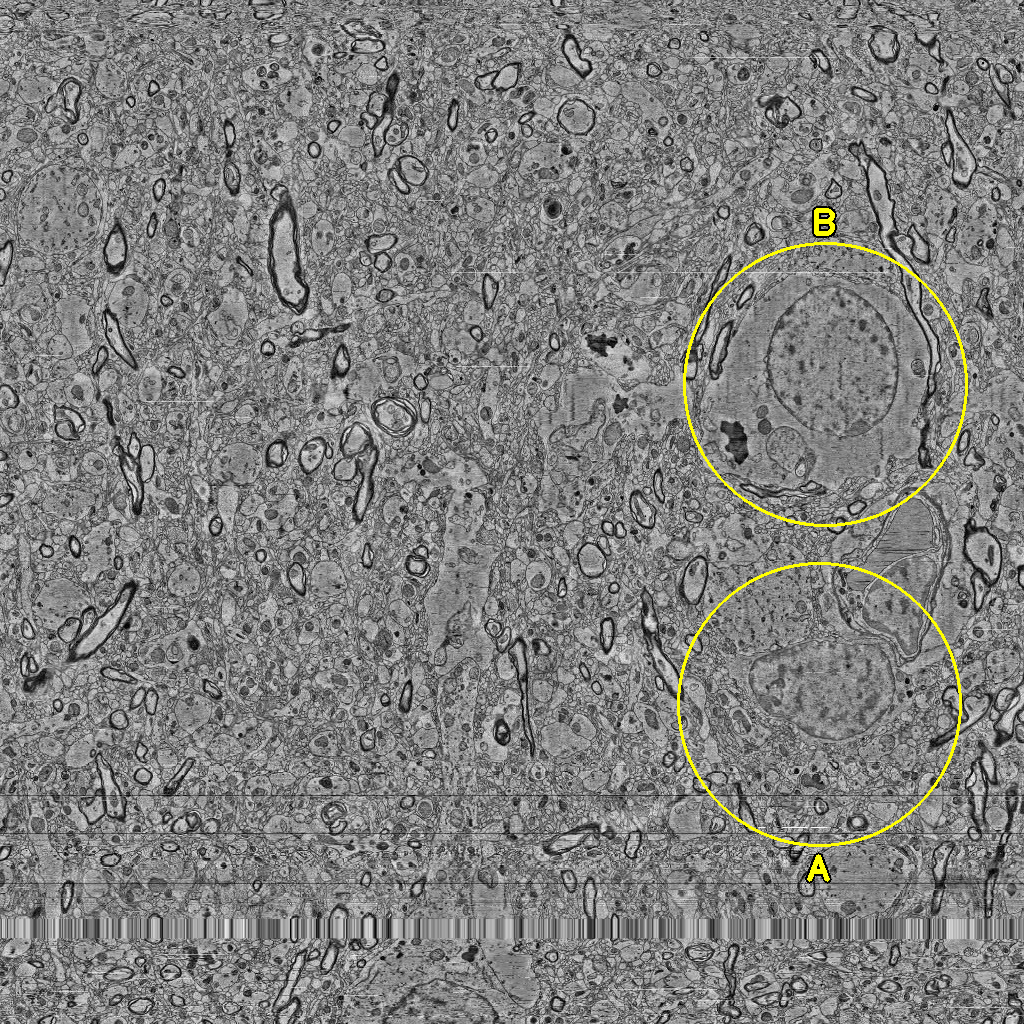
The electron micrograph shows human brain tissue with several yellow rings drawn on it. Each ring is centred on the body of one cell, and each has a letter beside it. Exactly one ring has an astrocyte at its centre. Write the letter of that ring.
B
